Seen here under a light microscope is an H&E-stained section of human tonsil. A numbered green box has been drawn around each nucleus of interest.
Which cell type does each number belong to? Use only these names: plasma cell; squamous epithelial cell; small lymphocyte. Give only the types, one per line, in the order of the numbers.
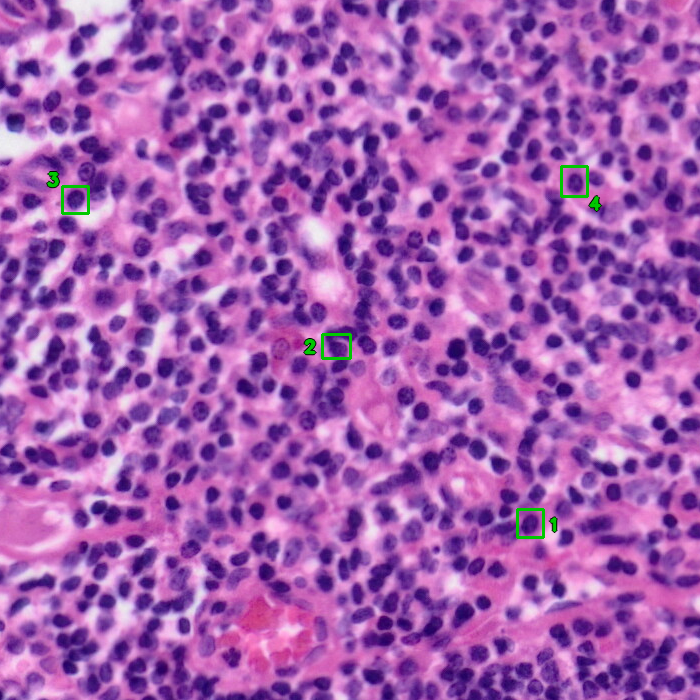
plasma cell
small lymphocyte
plasma cell
plasma cell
